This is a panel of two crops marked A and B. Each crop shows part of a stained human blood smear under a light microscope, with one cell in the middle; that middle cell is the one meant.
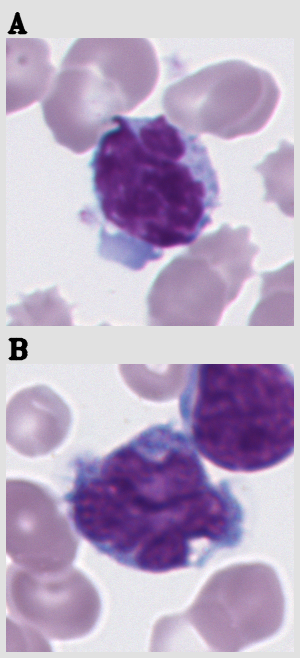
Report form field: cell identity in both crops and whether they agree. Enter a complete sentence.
No, crop A shows a lymphocyte and crop B a blast.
